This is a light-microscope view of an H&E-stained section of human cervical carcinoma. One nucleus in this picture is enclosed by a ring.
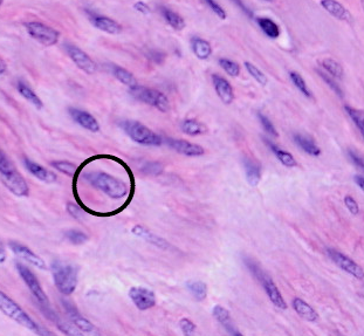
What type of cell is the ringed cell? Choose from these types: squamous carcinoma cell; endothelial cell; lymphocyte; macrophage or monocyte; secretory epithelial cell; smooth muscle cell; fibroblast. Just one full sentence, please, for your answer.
Labelled by cell type, the ringed cell is a smooth muscle cell.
